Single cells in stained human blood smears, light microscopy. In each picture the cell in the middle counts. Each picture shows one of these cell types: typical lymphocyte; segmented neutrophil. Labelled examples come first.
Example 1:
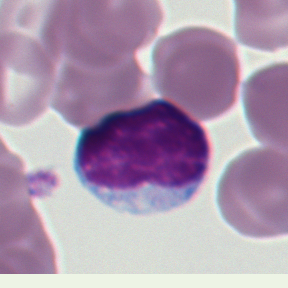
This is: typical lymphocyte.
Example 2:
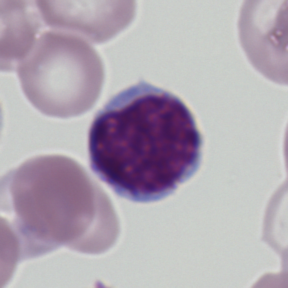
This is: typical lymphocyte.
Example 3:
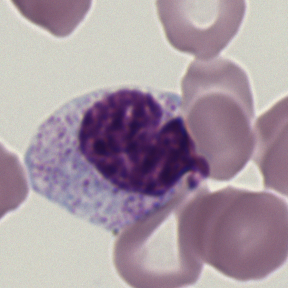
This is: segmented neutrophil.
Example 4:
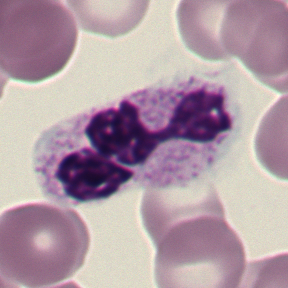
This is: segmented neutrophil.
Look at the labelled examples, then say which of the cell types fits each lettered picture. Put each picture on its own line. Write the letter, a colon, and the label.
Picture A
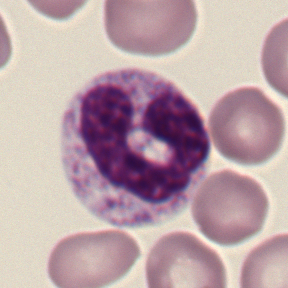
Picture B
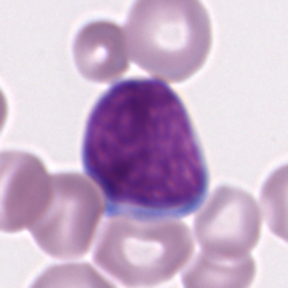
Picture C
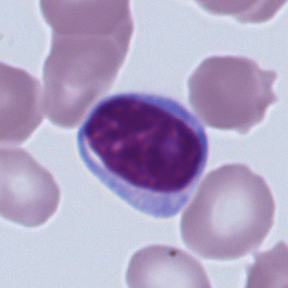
A: segmented neutrophil.
B: typical lymphocyte.
C: typical lymphocyte.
